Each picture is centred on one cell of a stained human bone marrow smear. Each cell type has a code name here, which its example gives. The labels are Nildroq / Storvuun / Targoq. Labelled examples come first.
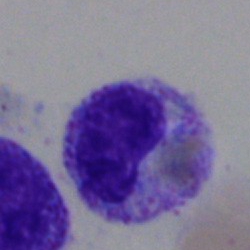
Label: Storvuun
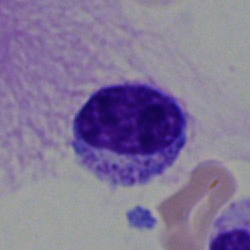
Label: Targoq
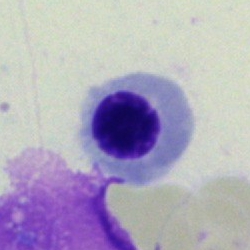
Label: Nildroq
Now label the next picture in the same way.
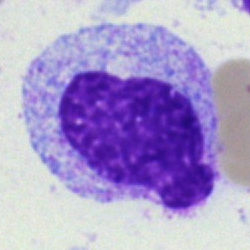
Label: Targoq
